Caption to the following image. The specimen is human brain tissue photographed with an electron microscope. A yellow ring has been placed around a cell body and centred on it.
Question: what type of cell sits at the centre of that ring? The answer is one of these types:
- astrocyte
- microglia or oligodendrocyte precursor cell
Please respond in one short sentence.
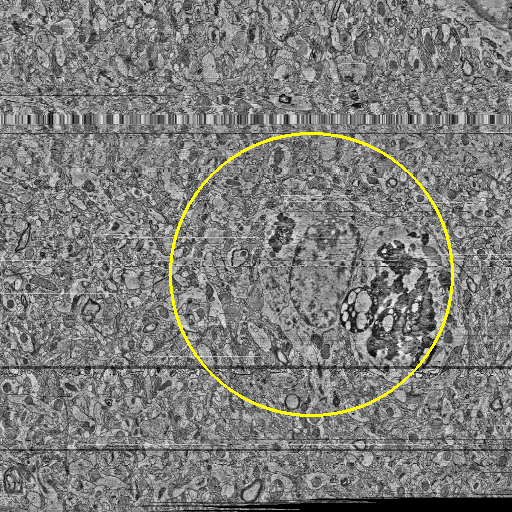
The ring surrounds the cell body of an astrocyte.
